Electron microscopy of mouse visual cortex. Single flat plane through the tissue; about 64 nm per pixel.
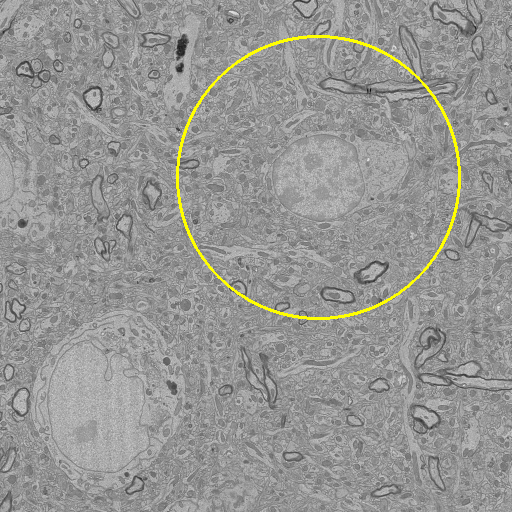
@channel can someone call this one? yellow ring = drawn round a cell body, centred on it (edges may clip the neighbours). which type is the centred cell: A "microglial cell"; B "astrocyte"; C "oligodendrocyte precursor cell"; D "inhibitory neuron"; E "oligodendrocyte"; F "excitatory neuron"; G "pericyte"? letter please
E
